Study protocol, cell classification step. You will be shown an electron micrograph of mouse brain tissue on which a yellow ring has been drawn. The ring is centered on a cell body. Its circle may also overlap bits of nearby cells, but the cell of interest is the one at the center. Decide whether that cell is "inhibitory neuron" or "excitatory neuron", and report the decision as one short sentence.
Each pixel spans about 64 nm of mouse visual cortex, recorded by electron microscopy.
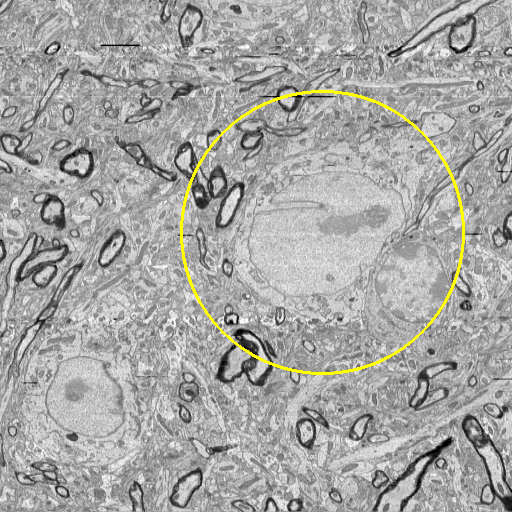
The marked cell is an inhibitory neuron.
